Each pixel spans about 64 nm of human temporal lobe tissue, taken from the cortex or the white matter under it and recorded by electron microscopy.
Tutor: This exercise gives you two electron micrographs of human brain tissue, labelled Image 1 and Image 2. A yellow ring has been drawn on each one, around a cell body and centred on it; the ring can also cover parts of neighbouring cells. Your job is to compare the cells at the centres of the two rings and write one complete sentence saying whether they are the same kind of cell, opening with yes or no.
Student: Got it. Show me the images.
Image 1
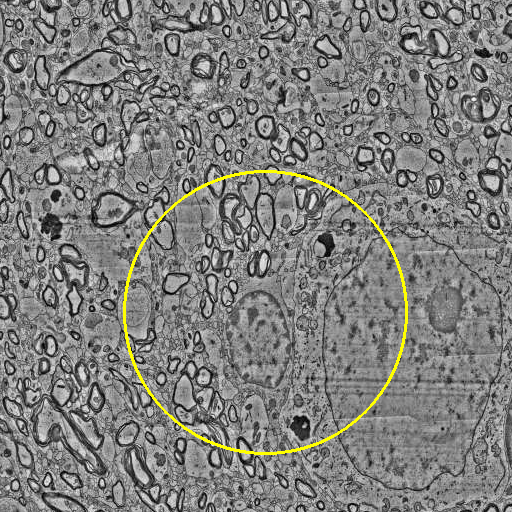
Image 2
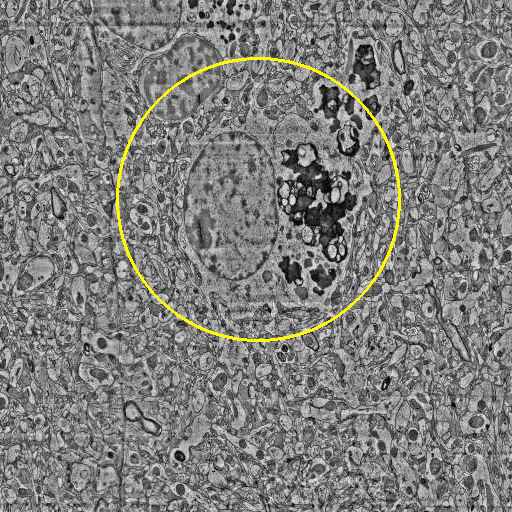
No, the two cells belong to two kinds.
